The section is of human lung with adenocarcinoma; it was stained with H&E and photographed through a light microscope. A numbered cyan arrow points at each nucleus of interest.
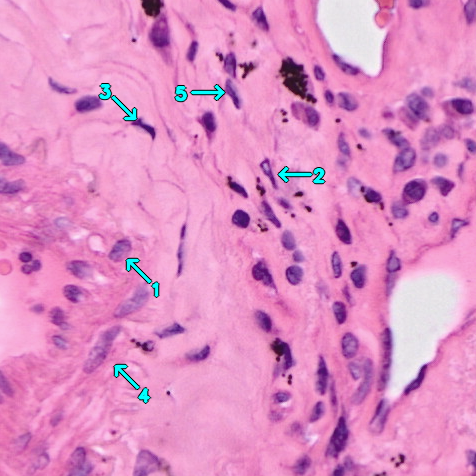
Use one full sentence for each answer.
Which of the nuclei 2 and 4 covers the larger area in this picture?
Number 4 is larger; its area is about 4 times that of number 2.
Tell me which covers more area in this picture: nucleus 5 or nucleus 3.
Nucleus 5 is the larger one, covering about 1.5 times the area of nucleus 3.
